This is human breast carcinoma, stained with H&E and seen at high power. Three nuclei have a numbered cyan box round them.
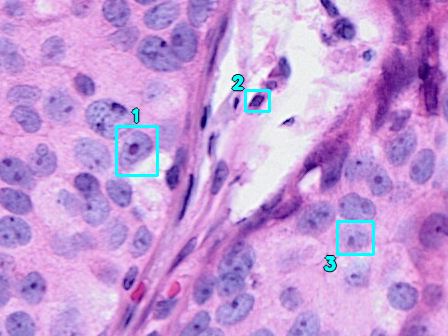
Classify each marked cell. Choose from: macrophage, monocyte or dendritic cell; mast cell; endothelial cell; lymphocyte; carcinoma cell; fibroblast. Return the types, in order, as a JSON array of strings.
["carcinoma cell", "mast cell", "carcinoma cell"]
